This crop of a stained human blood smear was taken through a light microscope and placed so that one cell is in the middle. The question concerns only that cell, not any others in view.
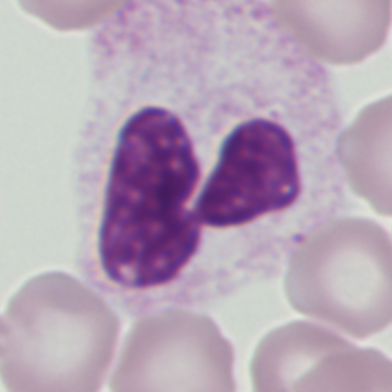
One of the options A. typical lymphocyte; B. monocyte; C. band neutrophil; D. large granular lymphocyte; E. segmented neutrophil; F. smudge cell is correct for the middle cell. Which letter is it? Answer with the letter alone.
E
